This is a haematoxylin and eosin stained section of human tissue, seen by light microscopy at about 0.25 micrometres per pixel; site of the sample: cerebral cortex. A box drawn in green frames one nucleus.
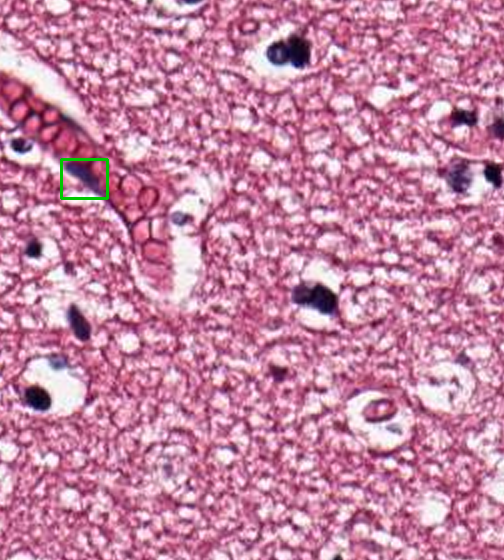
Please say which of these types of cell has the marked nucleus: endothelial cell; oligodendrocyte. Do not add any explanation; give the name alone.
endothelial cell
